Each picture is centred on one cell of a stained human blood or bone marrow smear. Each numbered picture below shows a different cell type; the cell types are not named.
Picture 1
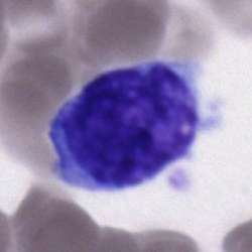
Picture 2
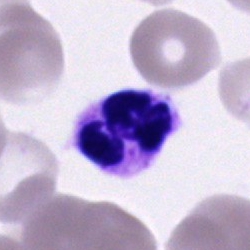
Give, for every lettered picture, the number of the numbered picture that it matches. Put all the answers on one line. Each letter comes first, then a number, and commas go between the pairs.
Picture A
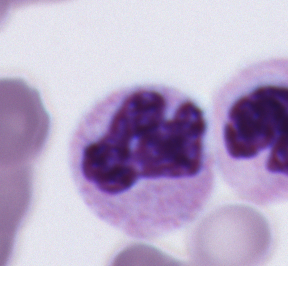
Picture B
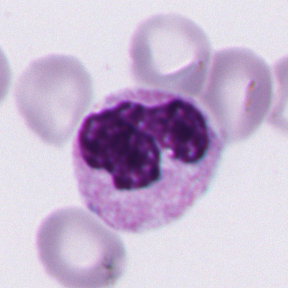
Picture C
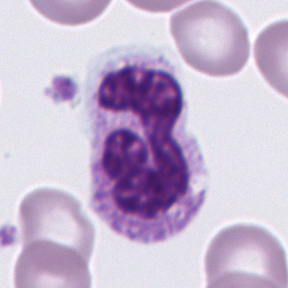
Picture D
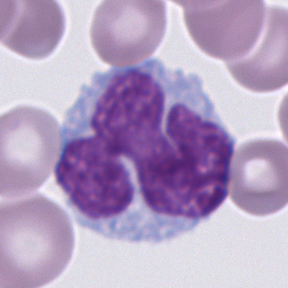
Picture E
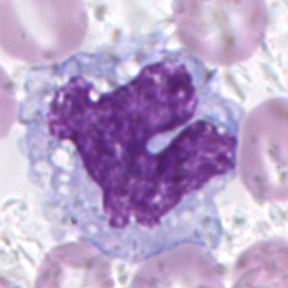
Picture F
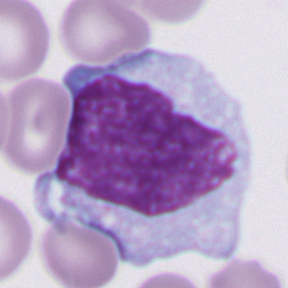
A 2, B 2, C 2, D 1, E 1, F 1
